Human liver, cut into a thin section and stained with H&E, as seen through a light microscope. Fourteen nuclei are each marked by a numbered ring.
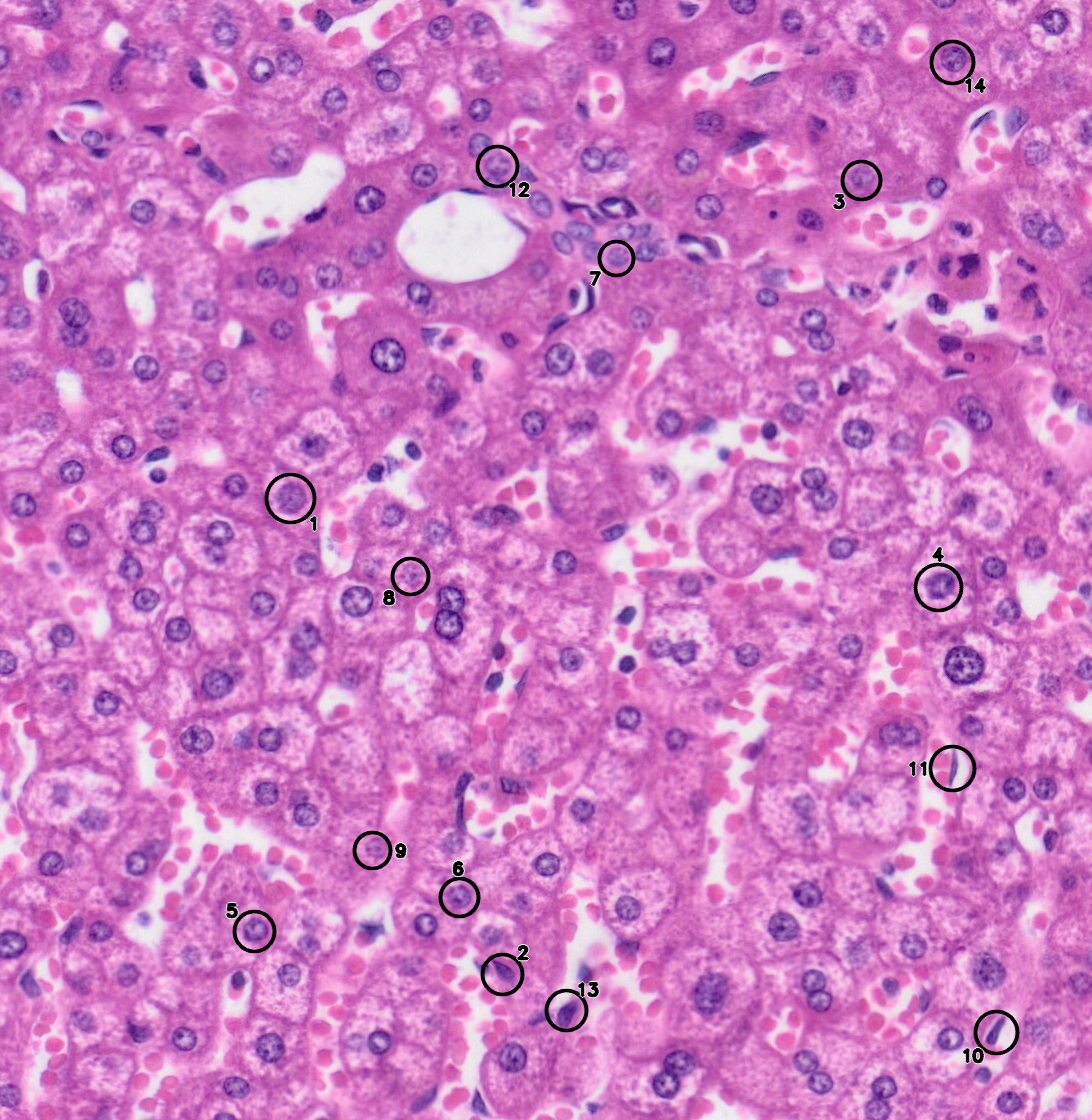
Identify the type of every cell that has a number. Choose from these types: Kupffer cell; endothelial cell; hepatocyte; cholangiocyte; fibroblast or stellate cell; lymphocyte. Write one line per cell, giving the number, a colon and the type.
1: hepatocyte
2: fibroblast or stellate cell
3: hepatocyte
4: hepatocyte
5: hepatocyte
6: hepatocyte
7: cholangiocyte
8: hepatocyte
9: hepatocyte
10: lymphocyte
11: endothelial cell
12: cholangiocyte
13: Kupffer cell
14: hepatocyte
